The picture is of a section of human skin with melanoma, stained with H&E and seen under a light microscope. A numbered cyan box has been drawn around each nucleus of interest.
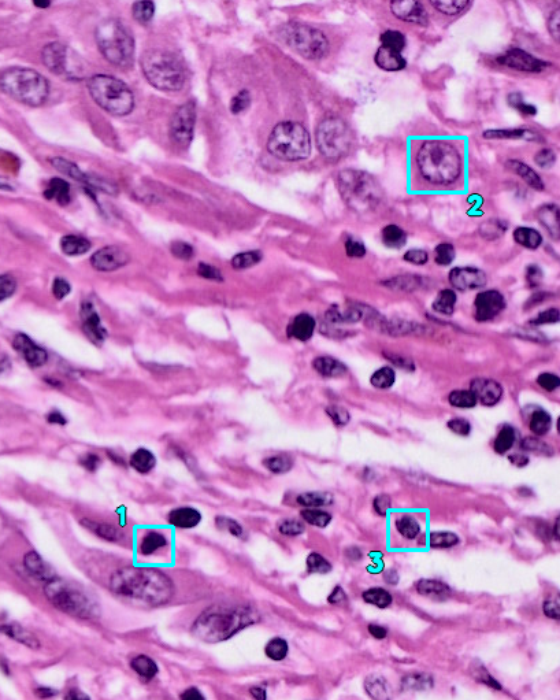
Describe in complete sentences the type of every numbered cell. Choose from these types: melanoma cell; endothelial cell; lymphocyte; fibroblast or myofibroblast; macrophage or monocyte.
Cell 1 is a lymphocyte, cell 2 is a melanoma cell and cell 3 is a lymphocyte.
